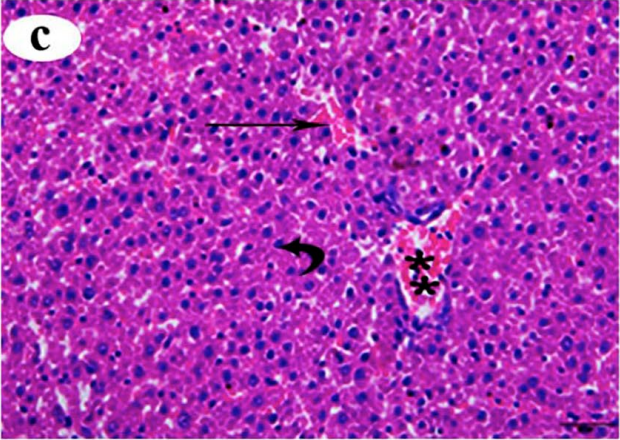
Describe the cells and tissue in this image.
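Liver tissue with hepatocytes around a central vein, in which the normal radiating cords are less distinct. The vein lumen is packed with red blood cells and its wall bears dark nuclei. Hepatocytes have pink-purple cytoplasm, and many of their nuclei are small, round and intensely dark, without visible nucleoli, consistent with pyknosis. Red blood cells also crowd some sinusoidal spaces between the cords. Scattered brownish granules lie near the vein. Overall the parenchyma looks denser and more purple than normal, with narrowed sinusoids.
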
